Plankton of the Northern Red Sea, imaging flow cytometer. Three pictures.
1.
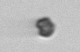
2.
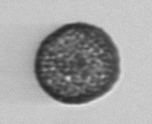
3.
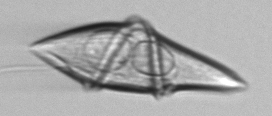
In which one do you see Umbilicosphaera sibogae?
In picture 2.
